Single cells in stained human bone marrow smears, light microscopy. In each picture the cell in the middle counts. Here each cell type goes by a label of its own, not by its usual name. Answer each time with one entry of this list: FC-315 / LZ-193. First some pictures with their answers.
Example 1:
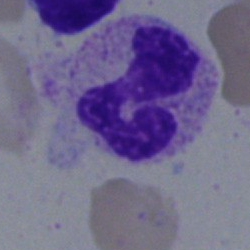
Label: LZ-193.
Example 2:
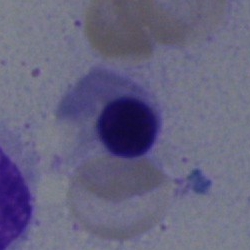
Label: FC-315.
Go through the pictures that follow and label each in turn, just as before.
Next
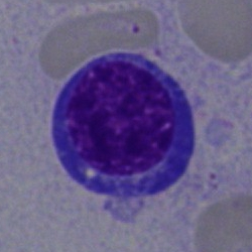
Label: FC-315.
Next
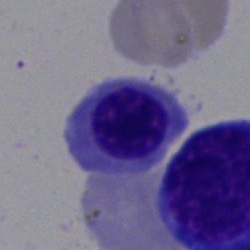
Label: FC-315.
